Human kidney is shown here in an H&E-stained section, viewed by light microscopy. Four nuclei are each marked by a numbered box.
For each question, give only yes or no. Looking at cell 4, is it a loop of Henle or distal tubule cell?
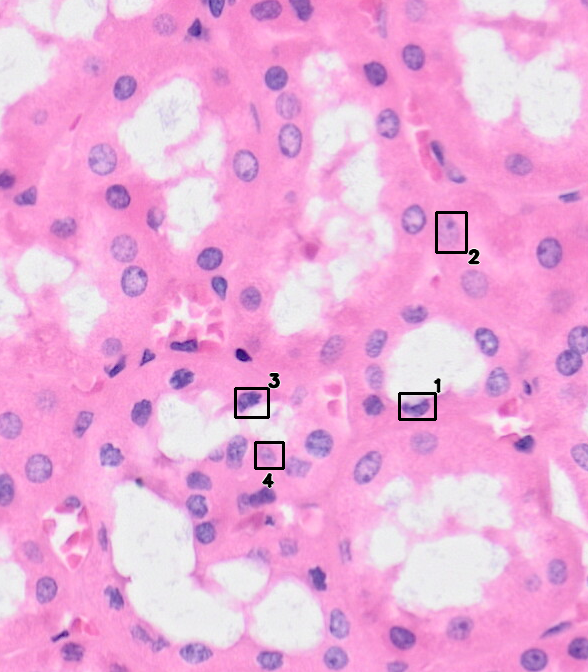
yes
